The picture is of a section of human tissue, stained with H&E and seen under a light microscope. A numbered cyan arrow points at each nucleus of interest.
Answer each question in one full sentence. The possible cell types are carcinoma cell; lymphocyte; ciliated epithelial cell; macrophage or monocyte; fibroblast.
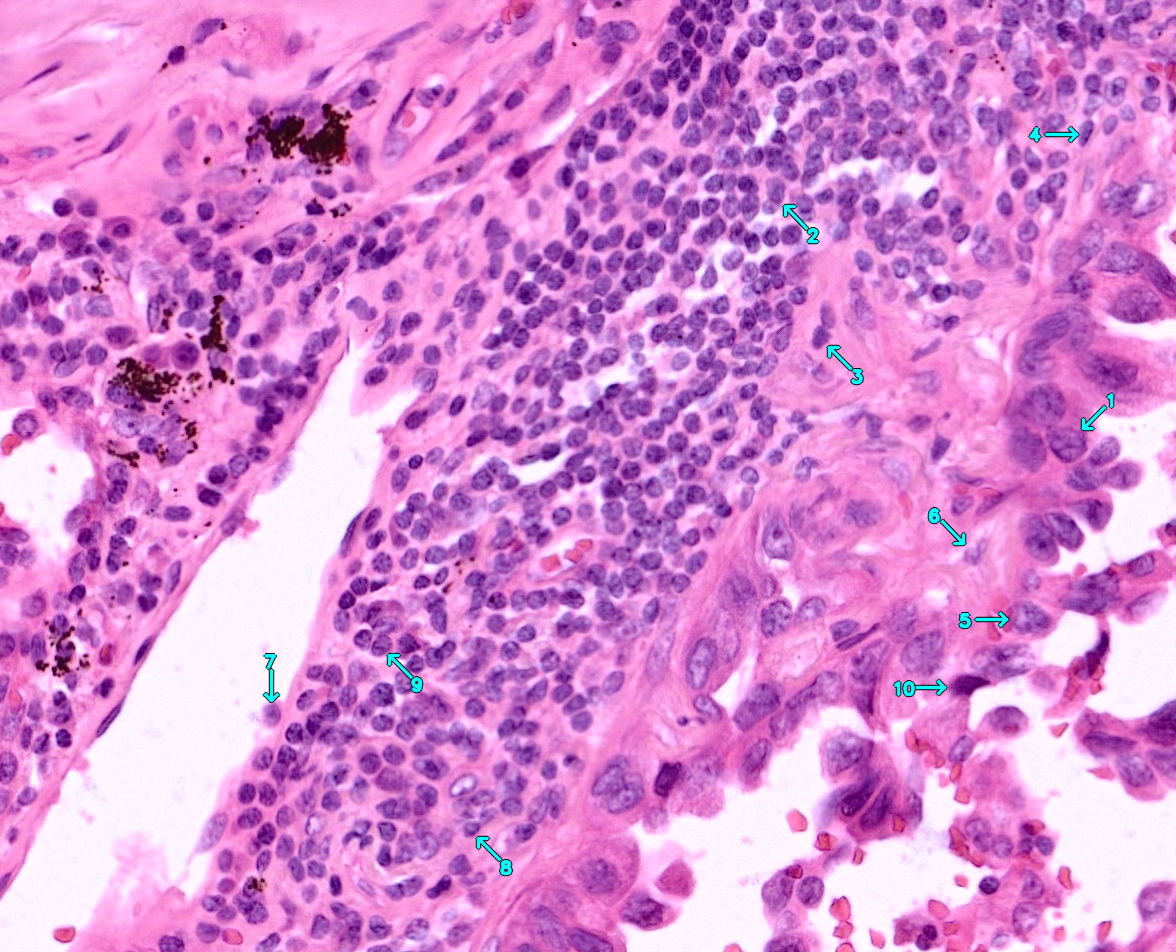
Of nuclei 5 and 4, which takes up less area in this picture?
Nucleus 4 covers less area, with nucleus 5 about 4 times as large.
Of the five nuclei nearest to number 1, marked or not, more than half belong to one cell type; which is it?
Most of the five nuclei nearest to number 1 are those of carcinoma cells.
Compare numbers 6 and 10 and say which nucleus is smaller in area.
Number 6 is smaller, since number 10 takes up about 2 times as much area.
